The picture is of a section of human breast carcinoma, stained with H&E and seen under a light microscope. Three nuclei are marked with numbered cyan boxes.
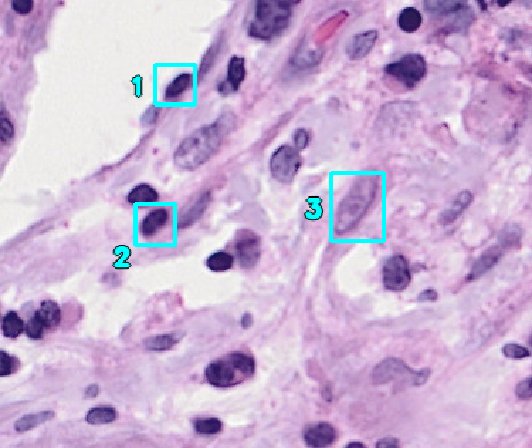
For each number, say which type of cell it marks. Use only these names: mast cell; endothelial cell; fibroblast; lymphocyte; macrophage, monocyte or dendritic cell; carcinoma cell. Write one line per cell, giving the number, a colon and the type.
1: lymphocyte
2: lymphocyte
3: fibroblast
